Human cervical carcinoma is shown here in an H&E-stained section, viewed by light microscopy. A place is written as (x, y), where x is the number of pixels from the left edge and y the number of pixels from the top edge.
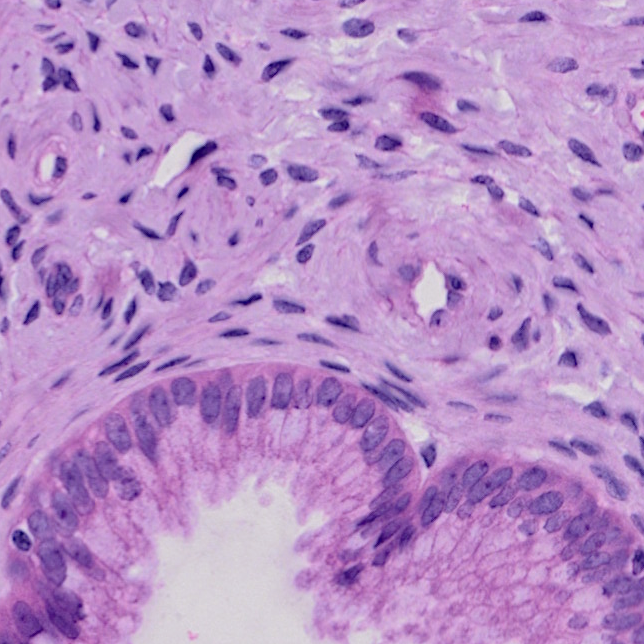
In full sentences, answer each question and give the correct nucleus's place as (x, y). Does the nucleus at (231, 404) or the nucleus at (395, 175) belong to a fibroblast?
The nucleus of a fibroblast is the one found at (395, 175), not the other.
